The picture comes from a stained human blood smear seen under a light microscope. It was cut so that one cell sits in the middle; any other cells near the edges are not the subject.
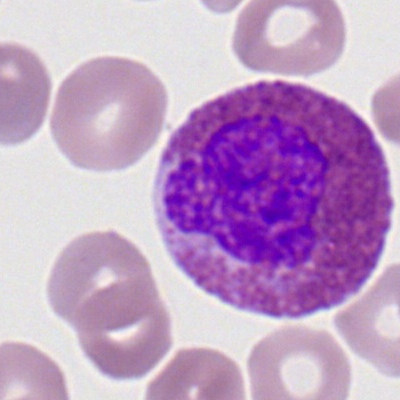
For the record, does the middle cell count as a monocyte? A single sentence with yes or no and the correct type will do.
No, not a monocyte but an eosinophil is the cell in the centre.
